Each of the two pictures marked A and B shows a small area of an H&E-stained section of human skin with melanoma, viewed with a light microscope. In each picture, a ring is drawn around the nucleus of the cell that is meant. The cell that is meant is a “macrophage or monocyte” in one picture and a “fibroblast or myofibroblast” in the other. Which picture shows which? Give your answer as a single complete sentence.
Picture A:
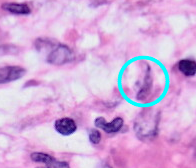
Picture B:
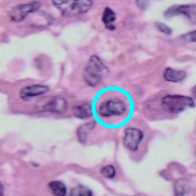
Picture B shows a “macrophage or monocyte”, while picture A shows a “fibroblast or myofibroblast”.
